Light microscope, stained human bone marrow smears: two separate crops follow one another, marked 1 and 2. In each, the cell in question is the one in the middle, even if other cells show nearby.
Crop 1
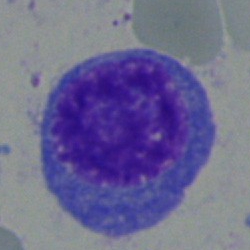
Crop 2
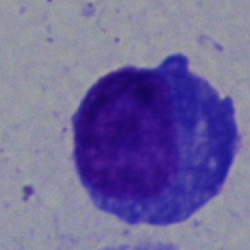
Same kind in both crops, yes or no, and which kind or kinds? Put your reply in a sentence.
Yes, the central cells in both of the crops are plasma cells.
